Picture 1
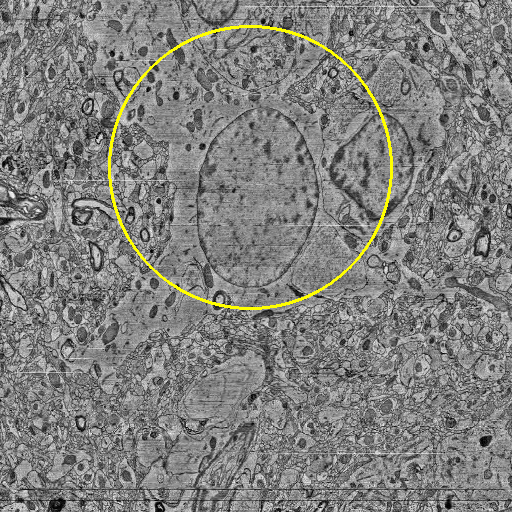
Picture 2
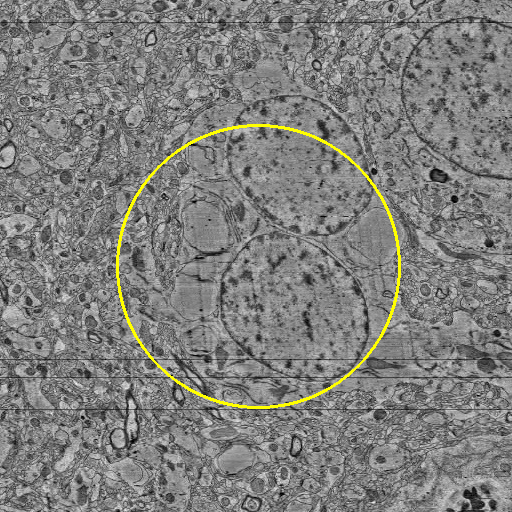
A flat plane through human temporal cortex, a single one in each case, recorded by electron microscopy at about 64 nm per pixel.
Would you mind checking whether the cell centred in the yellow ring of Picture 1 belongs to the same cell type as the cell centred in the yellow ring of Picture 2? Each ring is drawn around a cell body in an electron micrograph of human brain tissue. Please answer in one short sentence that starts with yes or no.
Yes, both cells are of the same type.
